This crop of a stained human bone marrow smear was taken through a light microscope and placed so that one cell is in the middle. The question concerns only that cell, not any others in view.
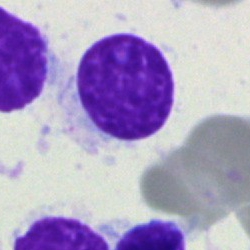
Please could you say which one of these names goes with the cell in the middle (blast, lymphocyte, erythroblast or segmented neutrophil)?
lymphocyte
